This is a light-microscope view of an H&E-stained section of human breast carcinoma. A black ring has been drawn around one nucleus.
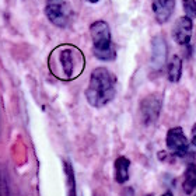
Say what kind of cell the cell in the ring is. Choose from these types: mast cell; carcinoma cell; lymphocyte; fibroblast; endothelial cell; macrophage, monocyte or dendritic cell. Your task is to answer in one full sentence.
On this particular slide, the cell in the ring is a macrophage, monocyte or dendritic cell.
